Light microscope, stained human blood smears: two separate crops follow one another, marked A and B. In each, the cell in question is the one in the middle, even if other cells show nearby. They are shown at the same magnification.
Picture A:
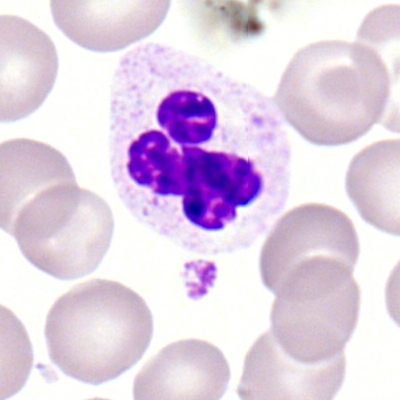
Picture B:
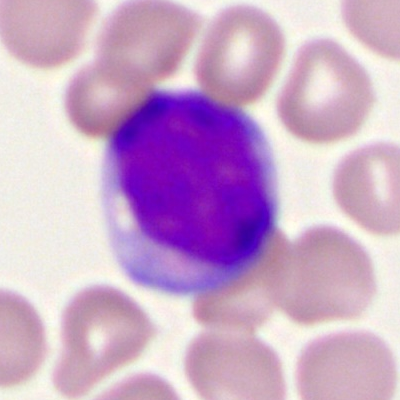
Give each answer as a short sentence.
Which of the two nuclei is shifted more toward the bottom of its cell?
Seen within its cell, the nucleus in picture A lies further toward the bottom.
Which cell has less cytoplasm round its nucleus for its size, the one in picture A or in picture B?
Of the two, the nucleus in picture B makes up the greater part of its cell.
